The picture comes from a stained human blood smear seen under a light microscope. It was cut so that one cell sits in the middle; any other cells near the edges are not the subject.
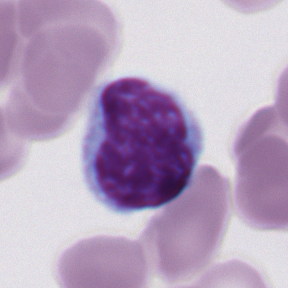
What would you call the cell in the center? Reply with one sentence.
The cell at the middle of the crop is recognized as a typical lymphocyte.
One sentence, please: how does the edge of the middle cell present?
You can see a smooth boundary, with no projections sticking out.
